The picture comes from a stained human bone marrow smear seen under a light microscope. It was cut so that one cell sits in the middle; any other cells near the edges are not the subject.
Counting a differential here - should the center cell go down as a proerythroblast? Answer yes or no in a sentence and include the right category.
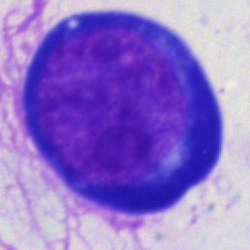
Yes, the central element of the crop is a proerythroblast.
